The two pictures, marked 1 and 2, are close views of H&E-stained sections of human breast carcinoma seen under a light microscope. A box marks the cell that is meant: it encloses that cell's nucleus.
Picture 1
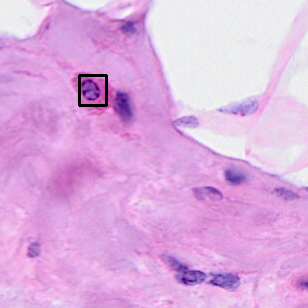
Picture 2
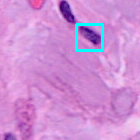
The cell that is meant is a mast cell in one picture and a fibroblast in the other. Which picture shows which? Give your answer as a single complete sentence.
Picture 1 shows a mast cell and picture 2 shows a fibroblast.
